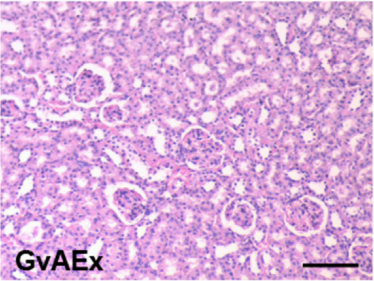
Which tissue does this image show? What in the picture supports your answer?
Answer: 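Round glomerular tufts sit within clear rims of space. Many tubule cross-sections lined by pink cuboidal epithelium fill the field. On this evidence: kidney.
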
